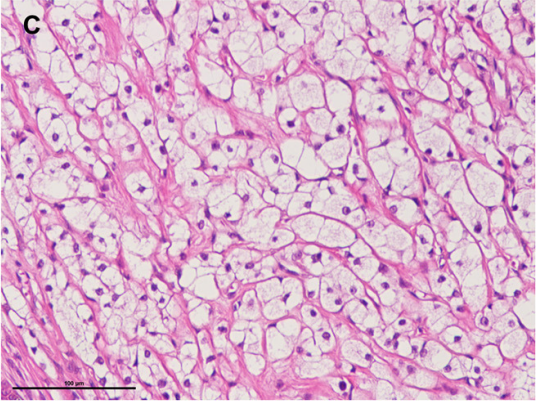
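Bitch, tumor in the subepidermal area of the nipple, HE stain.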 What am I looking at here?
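The cells are round to polygonal and large, with abundant pale cytoplasm that is finely vacuolated, giving a bubbly, foamy look rather than the single large fat droplet of white fat. Nuclei are small, round to oval and dark purple, mostly central or slightly off-centre. Cell size and nuclear size vary a little. Between the groups of cells run thin pink strands of fibrous tissue carrying slender spindle-shaped nuclei and small vessels, a fine fibrovascular stroma that divides the sheets.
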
